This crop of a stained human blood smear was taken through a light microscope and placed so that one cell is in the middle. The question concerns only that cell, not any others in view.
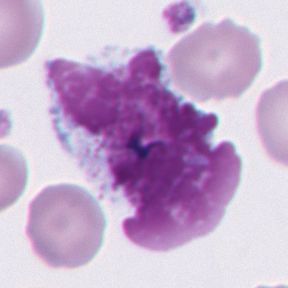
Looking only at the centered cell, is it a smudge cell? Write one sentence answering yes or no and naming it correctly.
Yes, a smudge cell occupies the middle of the crop.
